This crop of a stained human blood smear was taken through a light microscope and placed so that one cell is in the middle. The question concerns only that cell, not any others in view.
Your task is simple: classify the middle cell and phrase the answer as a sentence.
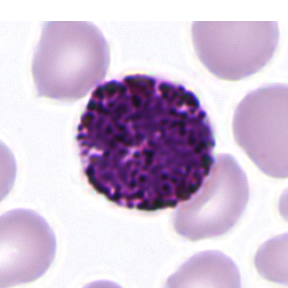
In the central position of this crop, the cell is a basophil.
